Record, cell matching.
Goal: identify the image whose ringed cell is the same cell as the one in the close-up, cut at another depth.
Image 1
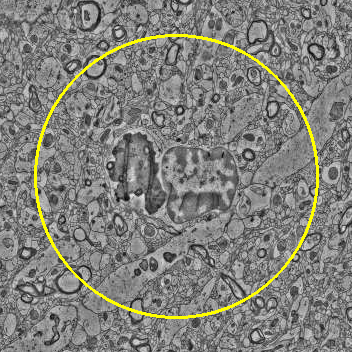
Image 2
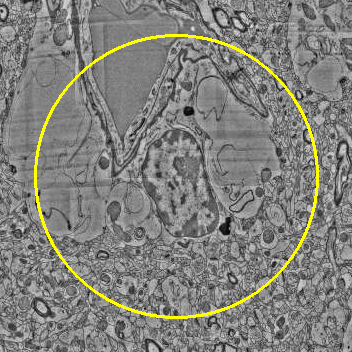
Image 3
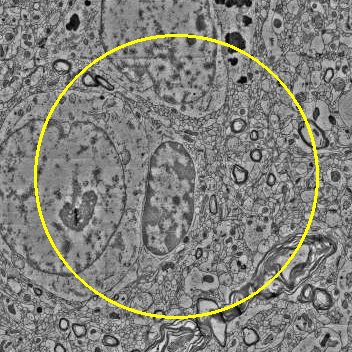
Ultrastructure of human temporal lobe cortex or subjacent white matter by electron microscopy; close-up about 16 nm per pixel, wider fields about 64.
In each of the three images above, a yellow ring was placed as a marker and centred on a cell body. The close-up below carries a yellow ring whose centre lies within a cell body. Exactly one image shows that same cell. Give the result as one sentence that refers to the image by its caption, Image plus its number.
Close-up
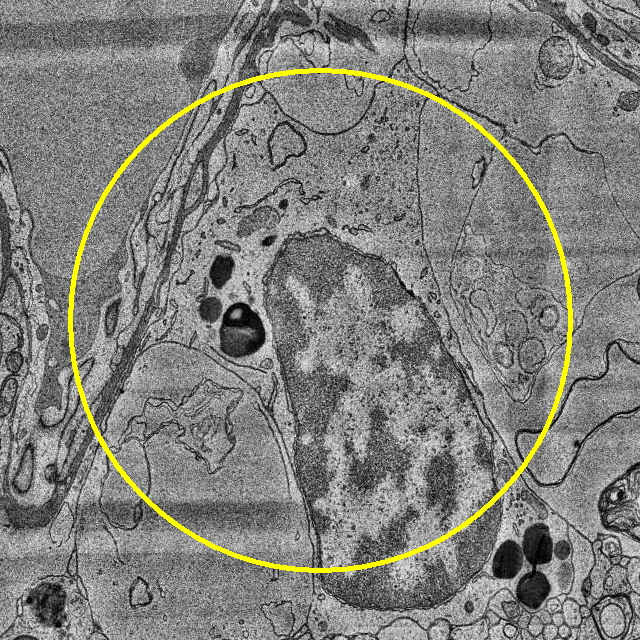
The close-up matches the cell enclosed by the yellow ring in Image 2.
